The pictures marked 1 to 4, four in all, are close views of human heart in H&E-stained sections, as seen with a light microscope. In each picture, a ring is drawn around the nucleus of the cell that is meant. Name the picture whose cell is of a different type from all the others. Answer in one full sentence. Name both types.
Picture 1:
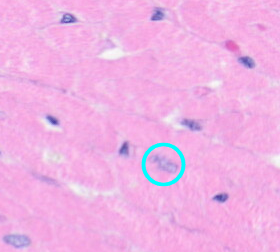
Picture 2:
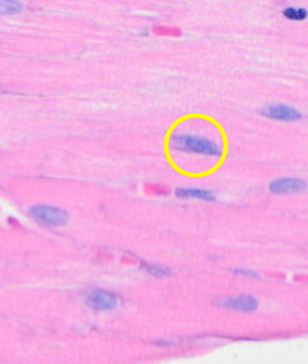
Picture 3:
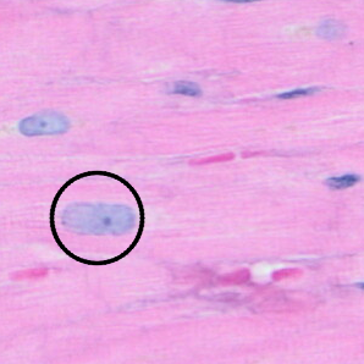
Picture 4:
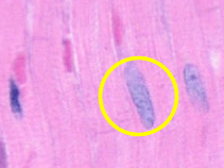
The others show cardiomyocytes, but picture 2 shows an endothelial cell.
